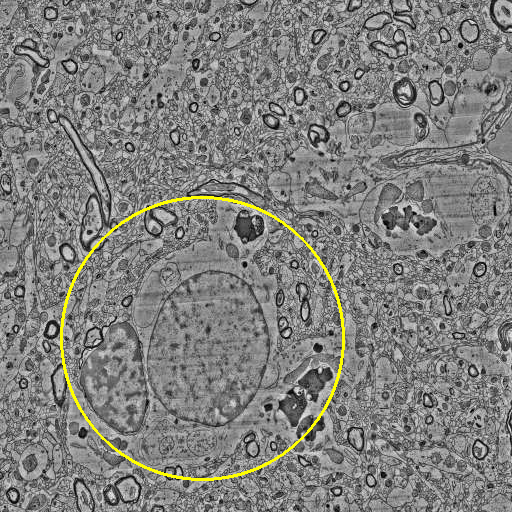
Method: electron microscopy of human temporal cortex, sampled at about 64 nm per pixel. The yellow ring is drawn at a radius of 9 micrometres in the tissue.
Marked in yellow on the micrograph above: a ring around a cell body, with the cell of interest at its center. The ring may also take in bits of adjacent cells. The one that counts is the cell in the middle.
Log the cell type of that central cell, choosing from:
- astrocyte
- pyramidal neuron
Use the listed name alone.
astrocyte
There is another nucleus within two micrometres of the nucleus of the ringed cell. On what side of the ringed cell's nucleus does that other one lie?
The other one lies to the left of it.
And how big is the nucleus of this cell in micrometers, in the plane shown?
The nucleus of the ringed cell is approximately 10 by 8 micrometres in this plane.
